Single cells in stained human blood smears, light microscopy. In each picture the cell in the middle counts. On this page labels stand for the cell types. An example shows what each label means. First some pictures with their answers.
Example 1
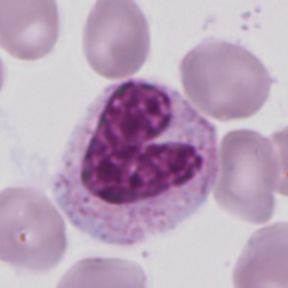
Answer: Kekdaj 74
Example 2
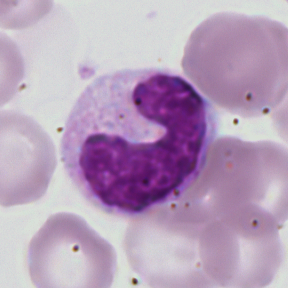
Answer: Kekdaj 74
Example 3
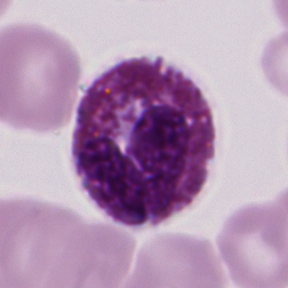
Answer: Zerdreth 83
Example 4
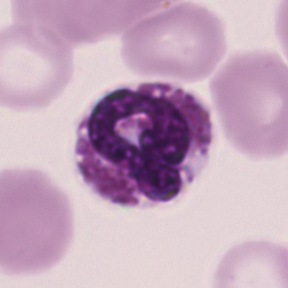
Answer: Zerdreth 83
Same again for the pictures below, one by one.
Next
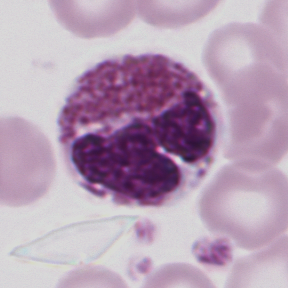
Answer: Zerdreth 83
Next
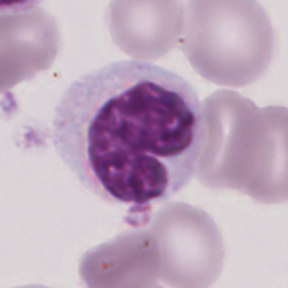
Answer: Kekdaj 74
